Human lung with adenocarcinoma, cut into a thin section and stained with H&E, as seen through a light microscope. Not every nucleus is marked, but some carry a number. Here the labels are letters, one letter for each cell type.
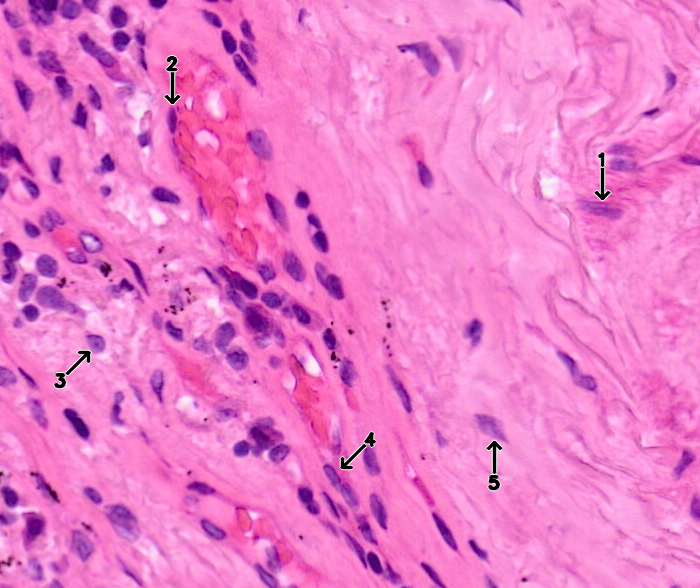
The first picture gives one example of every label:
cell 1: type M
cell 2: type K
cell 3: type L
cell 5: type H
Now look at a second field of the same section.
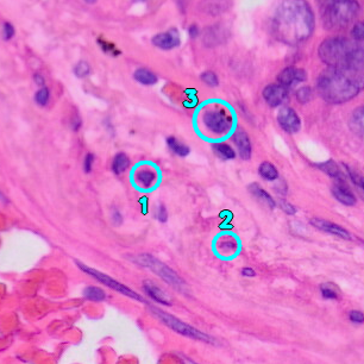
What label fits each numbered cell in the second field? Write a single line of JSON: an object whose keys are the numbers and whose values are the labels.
{"1": "type M", "2": "type M", "3": "type L"}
